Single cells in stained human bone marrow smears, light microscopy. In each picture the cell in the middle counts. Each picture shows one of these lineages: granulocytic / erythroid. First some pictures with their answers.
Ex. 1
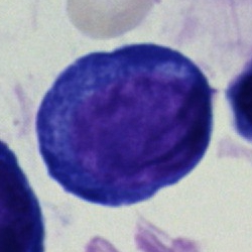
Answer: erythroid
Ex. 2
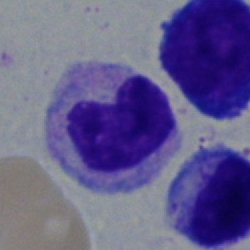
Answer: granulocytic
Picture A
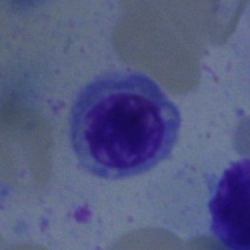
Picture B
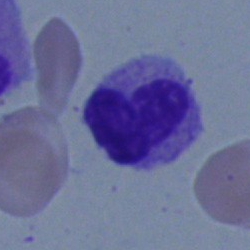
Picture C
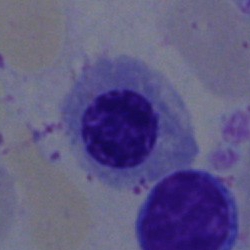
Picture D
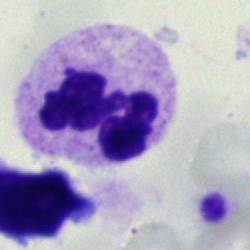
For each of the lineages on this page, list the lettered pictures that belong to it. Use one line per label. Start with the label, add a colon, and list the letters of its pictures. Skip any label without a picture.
granulocytic: B, D
erythroid: A, C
